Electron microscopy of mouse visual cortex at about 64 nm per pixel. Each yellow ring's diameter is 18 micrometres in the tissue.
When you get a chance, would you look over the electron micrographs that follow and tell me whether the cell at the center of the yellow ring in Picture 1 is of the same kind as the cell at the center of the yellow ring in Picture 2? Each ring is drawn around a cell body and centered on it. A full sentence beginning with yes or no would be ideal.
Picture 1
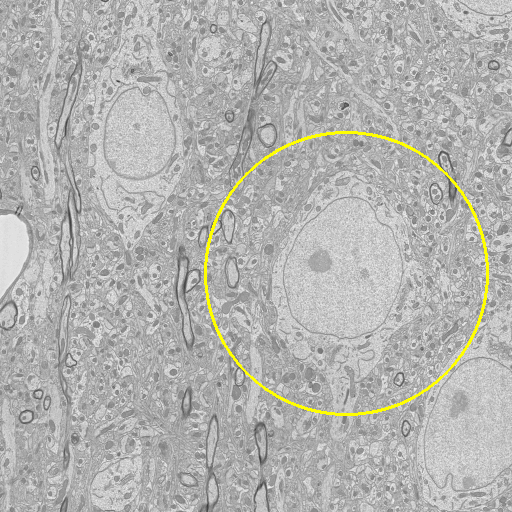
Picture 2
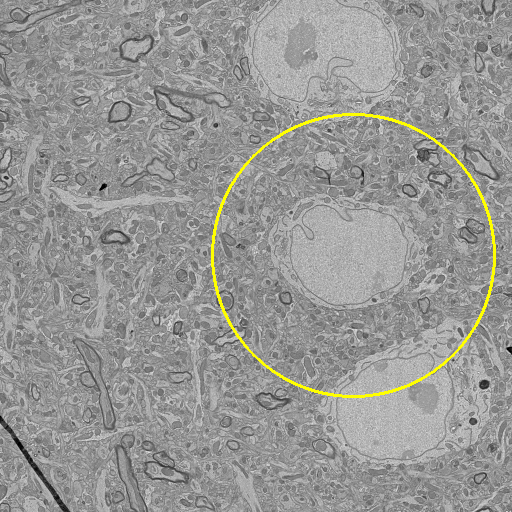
Yes, the two cells are of the same kind.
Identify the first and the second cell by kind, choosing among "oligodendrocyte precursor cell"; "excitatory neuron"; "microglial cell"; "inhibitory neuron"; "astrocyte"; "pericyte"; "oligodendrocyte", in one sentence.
Both rings mark an excitatory neuron, one in each picture.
